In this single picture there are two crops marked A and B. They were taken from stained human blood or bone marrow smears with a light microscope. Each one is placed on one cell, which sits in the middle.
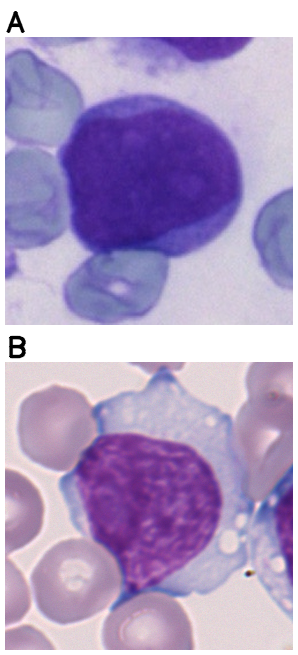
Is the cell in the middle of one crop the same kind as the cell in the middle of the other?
yes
